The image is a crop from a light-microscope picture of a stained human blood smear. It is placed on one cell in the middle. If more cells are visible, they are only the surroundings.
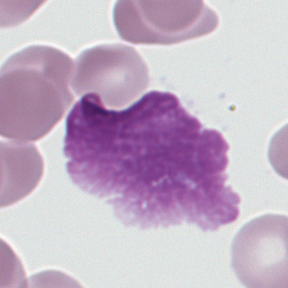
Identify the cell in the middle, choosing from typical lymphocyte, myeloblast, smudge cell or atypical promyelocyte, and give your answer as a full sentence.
Where the crop is centred, there is a smudge cell.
